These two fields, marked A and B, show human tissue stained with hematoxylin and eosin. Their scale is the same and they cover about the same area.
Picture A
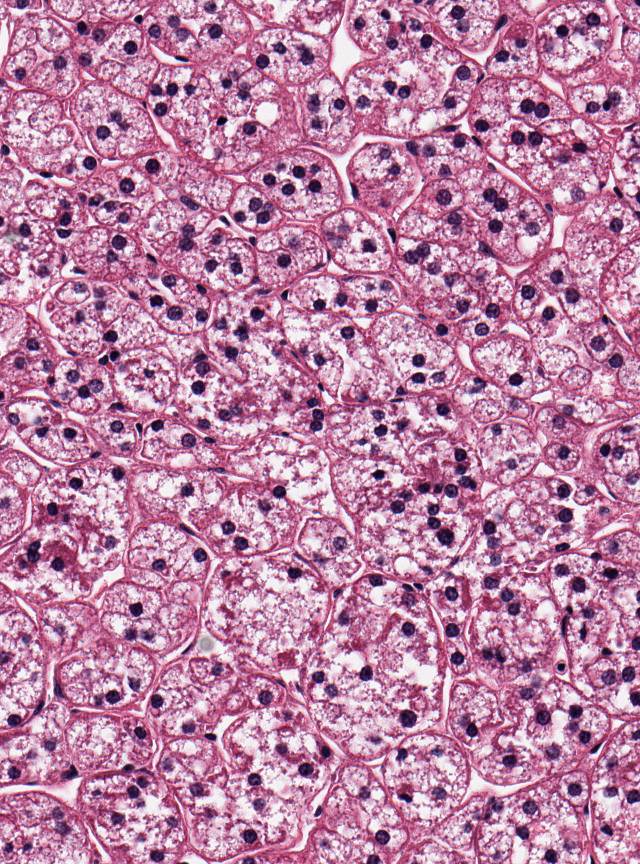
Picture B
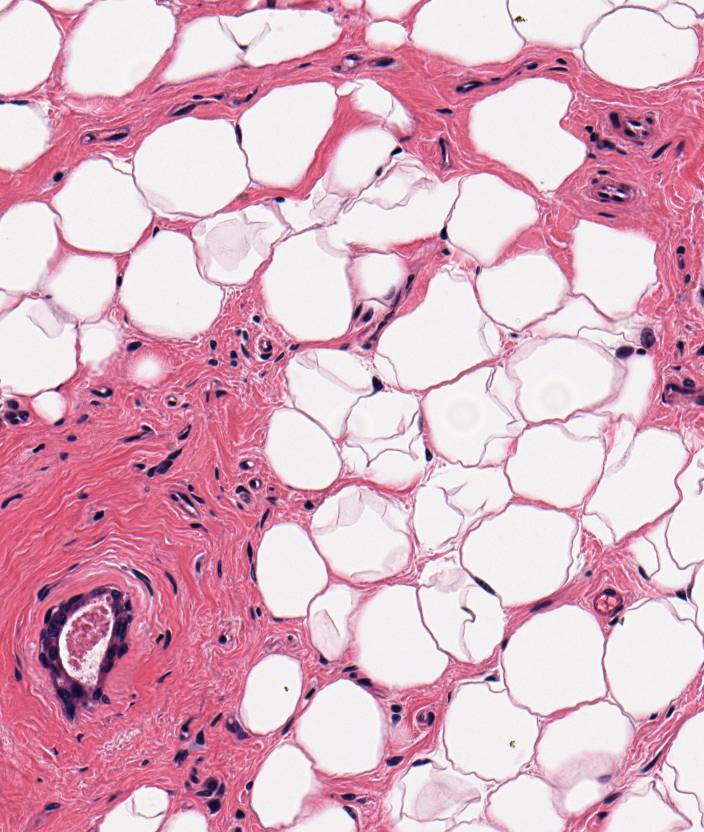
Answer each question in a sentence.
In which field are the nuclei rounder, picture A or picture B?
It is picture A whose nuclei are the rounder.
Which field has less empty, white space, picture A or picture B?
It is picture A that stained tissue fills more completely.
